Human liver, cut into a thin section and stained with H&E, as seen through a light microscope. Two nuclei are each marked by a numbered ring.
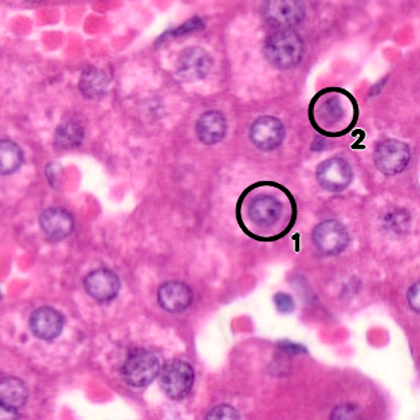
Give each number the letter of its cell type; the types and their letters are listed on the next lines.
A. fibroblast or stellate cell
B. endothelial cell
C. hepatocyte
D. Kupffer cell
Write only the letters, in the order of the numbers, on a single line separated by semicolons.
C; D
